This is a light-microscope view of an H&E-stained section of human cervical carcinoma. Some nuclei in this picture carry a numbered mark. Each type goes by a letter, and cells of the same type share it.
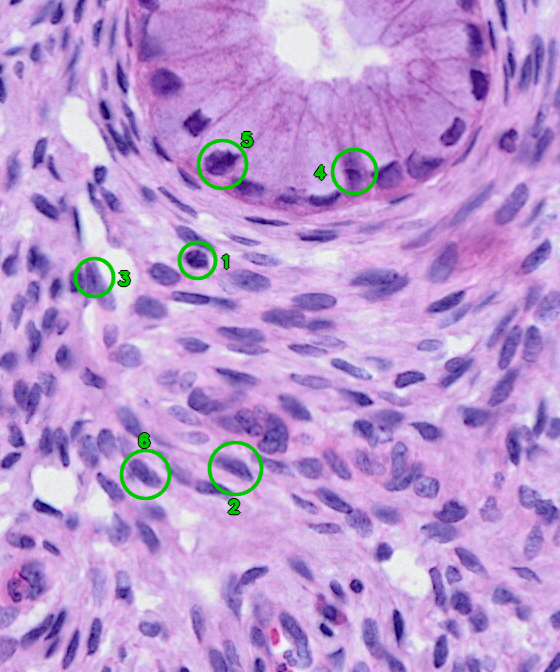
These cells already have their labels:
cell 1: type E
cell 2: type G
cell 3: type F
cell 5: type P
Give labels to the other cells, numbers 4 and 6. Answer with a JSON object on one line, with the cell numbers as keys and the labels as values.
{"4": "type P", "6": "type G"}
